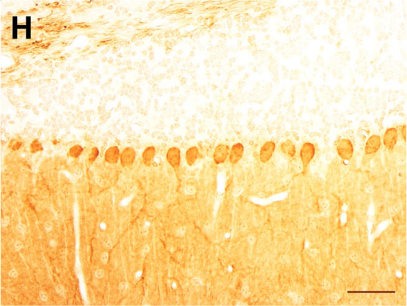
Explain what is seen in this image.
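Across the middle of the field runs a single row of large, flask-shaped brown cell bodies, closely spaced. Above them lies a densely packed layer of small pale cells, and below them a broad, evenly brown layer into which thin processes extend from the large cells. This is cerebellar cortex with the row of Purkinje neurons lying between the granular layer and the molecular layer.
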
